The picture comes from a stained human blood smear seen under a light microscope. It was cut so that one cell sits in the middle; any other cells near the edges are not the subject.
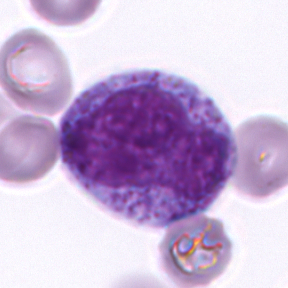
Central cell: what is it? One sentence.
In the crop, the cell of interest at the centre is a promyelocyte.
